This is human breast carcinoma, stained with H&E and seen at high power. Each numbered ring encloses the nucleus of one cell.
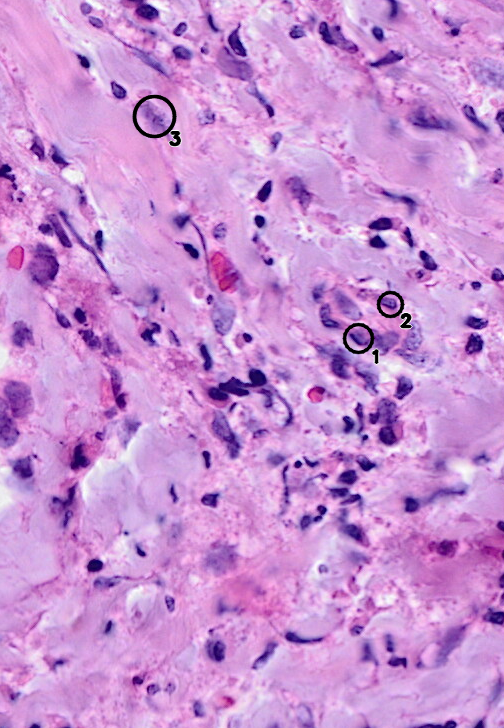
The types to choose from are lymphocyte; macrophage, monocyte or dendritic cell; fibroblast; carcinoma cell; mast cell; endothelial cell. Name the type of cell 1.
endothelial cell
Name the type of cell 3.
fibroblast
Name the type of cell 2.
endothelial cell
